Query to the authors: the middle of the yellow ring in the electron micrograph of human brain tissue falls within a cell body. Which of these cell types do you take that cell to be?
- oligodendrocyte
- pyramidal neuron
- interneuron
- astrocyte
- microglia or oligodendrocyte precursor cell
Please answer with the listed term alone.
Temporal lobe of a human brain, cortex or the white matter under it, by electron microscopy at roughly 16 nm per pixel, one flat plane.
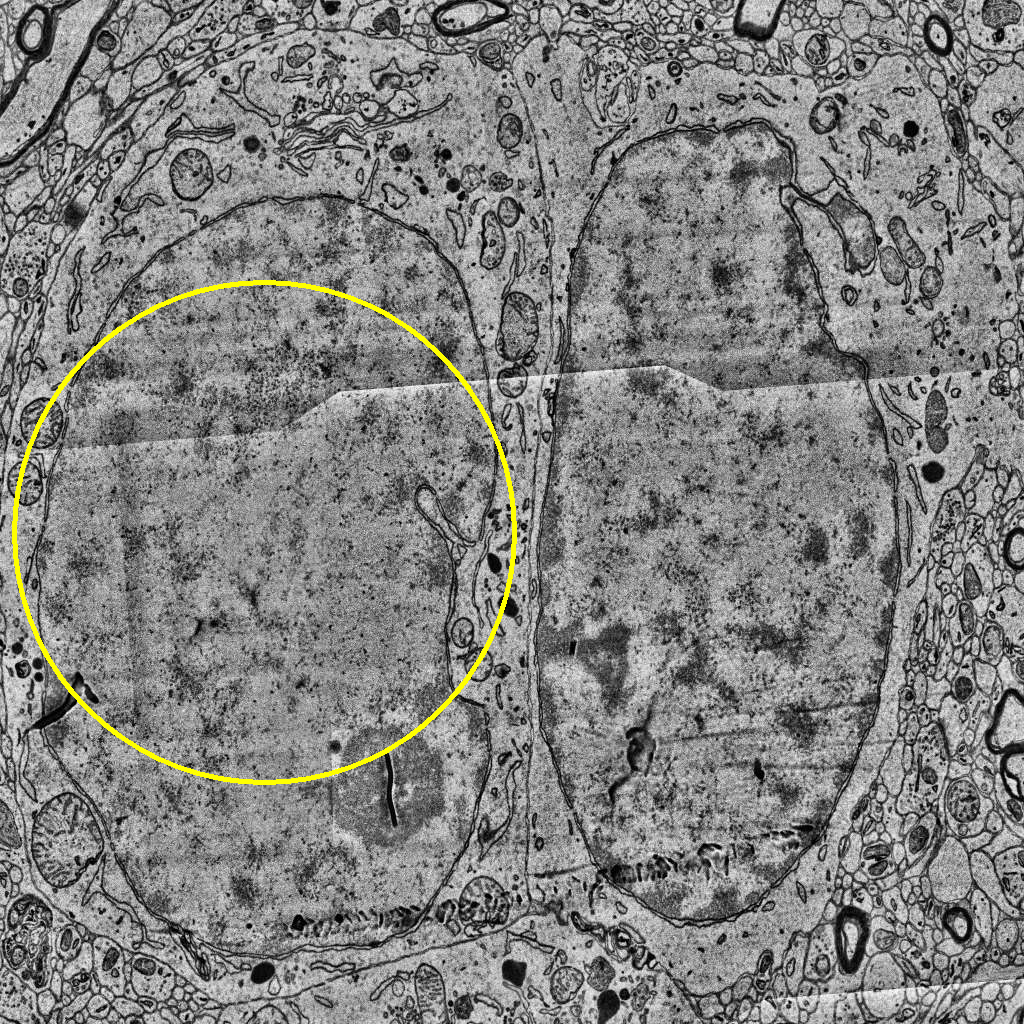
pyramidal neuron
